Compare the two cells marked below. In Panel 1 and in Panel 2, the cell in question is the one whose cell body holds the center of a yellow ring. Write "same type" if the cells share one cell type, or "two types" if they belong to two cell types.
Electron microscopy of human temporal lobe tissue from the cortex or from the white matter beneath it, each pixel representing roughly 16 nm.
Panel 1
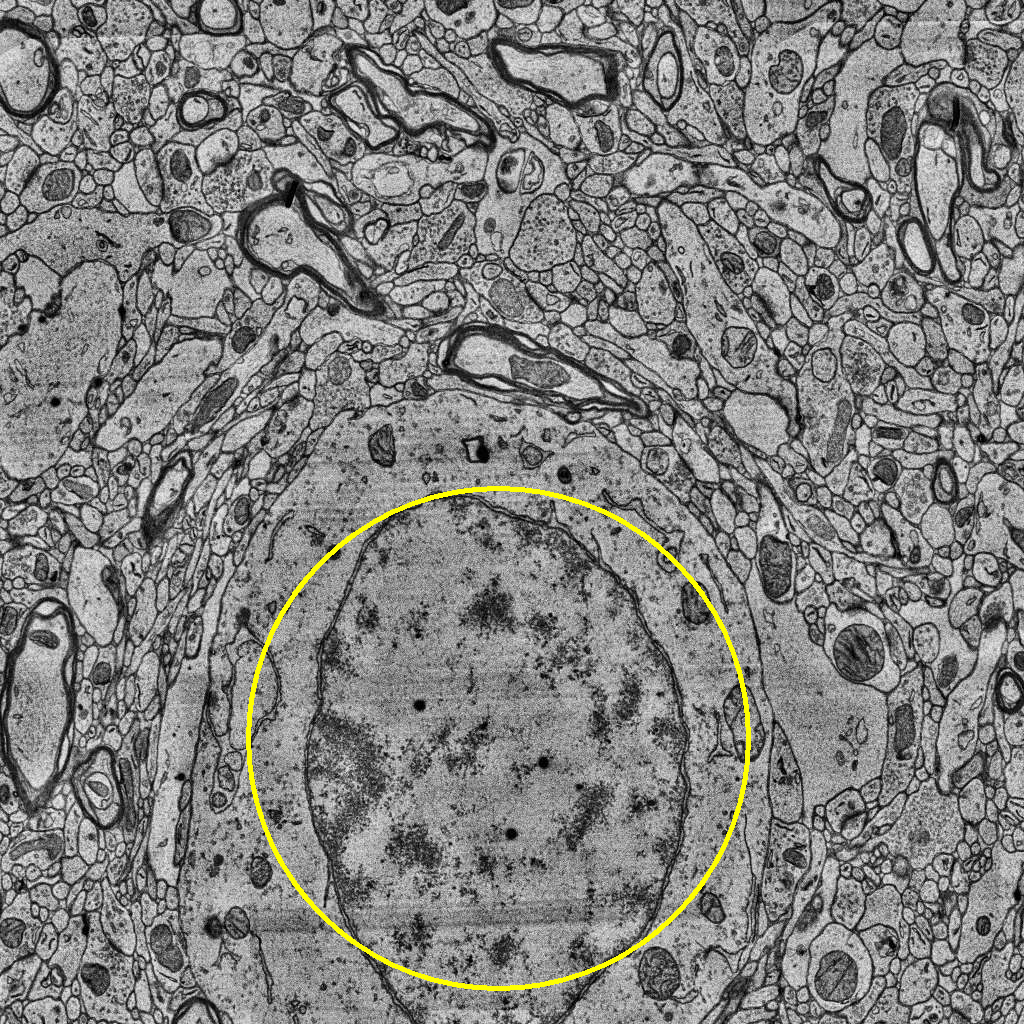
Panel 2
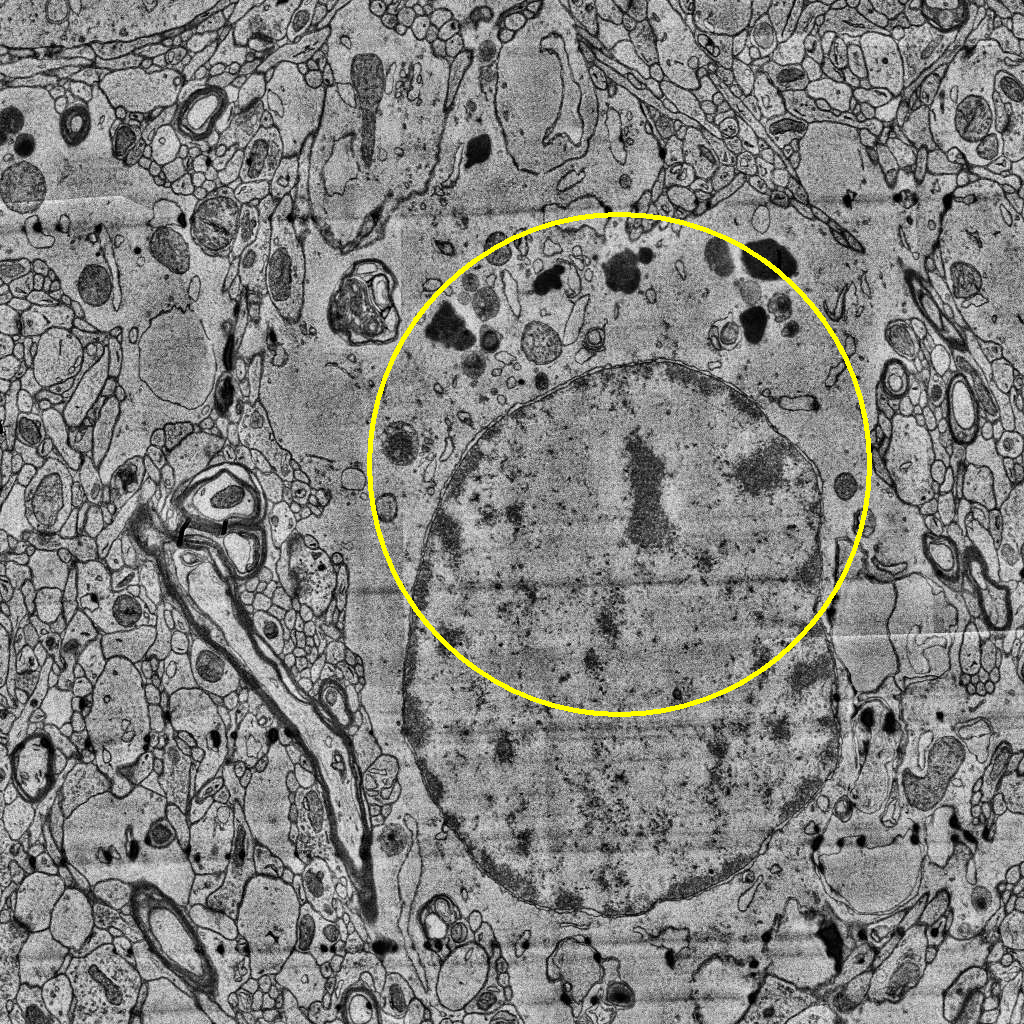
two types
